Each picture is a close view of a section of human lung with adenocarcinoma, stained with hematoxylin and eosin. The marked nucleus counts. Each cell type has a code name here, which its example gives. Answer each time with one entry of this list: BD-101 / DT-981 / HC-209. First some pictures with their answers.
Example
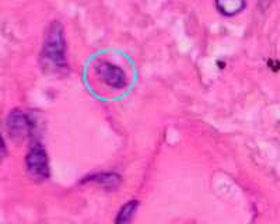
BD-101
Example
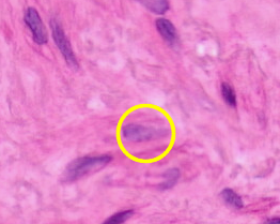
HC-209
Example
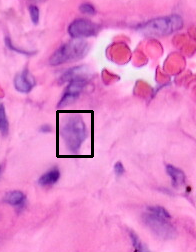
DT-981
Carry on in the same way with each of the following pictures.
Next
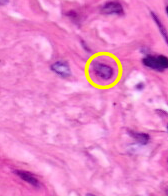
BD-101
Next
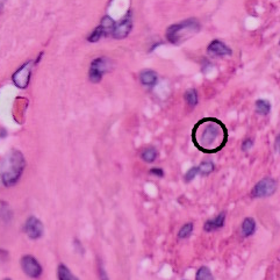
HC-209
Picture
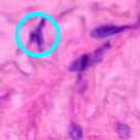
DT-981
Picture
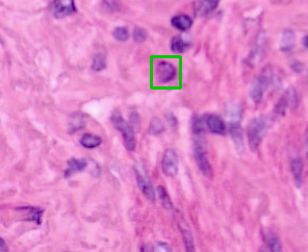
BD-101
